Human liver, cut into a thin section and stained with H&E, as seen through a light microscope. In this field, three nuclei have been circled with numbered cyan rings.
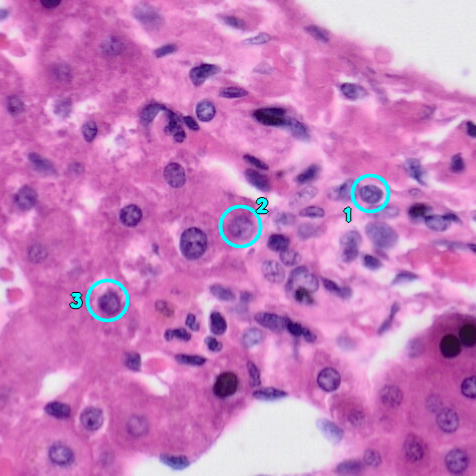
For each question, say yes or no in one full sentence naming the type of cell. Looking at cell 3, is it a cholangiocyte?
No, cell number 3 is identified as a hepatocyte, not as a cholangiocyte.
